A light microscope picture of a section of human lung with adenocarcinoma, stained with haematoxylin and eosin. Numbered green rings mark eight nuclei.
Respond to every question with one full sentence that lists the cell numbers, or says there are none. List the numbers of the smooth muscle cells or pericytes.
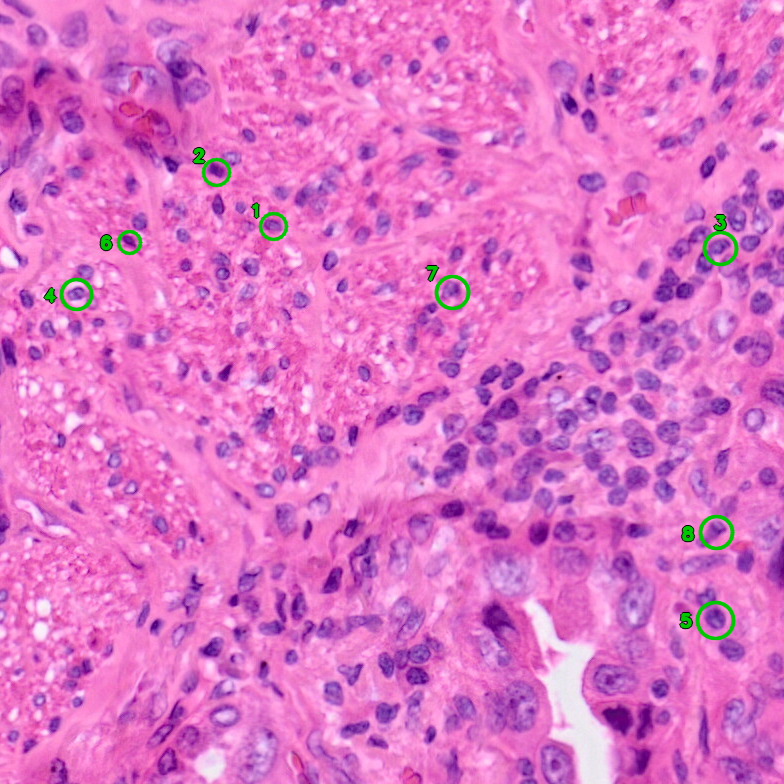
Cells that were given the numbers 1, 2, 4, 6 and 7 are smooth muscle cells or pericytes.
